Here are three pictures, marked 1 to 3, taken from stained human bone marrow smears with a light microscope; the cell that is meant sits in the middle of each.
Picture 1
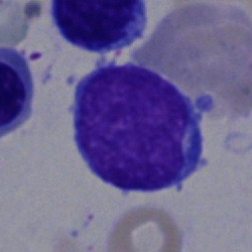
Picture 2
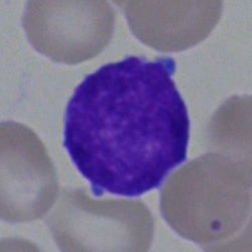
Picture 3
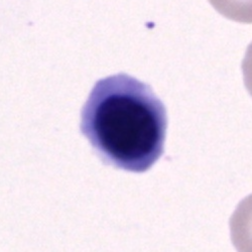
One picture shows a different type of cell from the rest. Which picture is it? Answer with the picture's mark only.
3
